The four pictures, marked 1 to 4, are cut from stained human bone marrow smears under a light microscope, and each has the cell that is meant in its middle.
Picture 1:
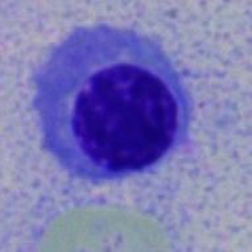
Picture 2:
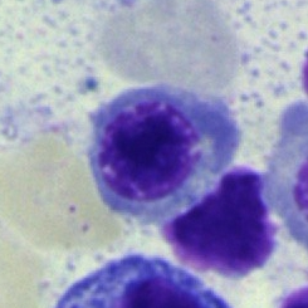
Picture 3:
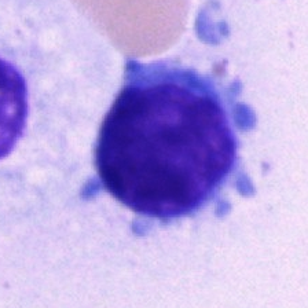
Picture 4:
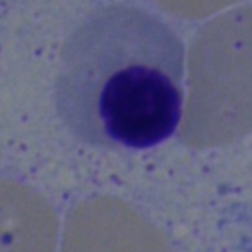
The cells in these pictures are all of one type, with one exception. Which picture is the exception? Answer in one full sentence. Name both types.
Unlike the rest, which show erythroblasts, picture 3 shows a lymphocyte.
